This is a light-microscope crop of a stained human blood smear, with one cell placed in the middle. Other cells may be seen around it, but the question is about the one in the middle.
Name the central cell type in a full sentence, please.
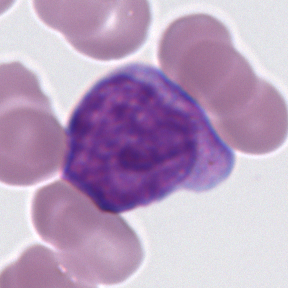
In the center of this field lies an atypical promyelocyte.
